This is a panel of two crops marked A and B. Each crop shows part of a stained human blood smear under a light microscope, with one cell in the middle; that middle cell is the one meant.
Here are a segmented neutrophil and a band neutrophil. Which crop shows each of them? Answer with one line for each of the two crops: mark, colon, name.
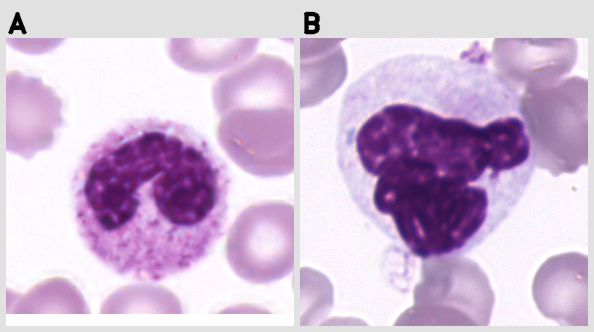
A: band neutrophil
B: segmented neutrophil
